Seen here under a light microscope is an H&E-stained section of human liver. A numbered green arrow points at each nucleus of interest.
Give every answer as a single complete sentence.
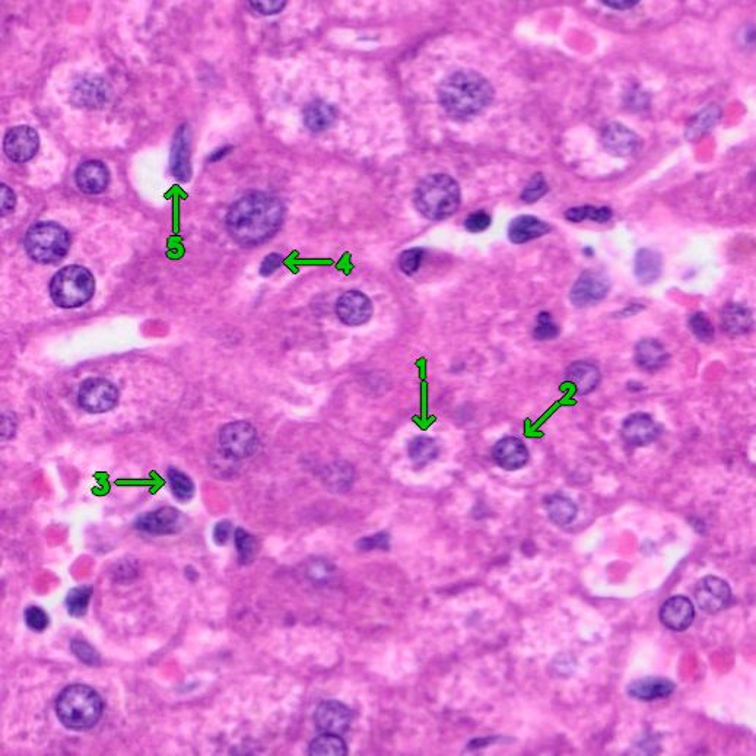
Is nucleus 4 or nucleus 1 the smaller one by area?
Nucleus 4 is the smaller one; nucleus 1 covers about 1.5 times its area.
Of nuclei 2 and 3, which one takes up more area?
It is nucleus 2, which covers about 1.5 times the area of nucleus 3.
